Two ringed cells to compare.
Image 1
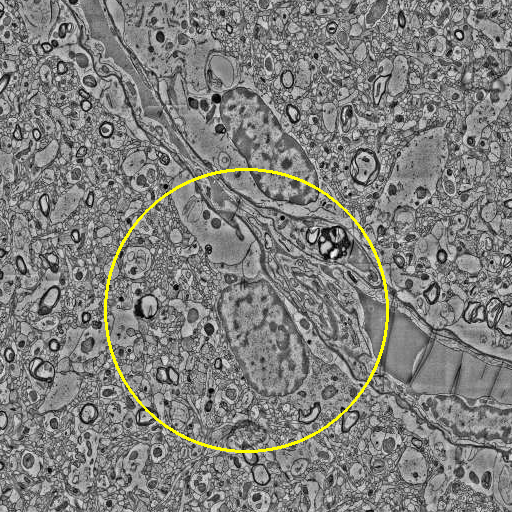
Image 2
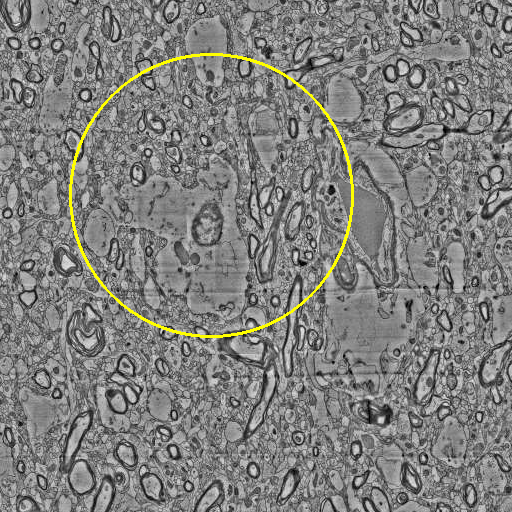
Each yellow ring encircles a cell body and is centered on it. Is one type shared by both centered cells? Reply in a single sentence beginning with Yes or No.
No, two types are found among the cells at the centers of the rings.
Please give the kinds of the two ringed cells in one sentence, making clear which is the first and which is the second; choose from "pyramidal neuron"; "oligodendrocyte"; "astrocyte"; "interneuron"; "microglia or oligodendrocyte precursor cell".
In the second picture the ringed cell is an astrocyte; in the first it is an oligodendrocyte.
